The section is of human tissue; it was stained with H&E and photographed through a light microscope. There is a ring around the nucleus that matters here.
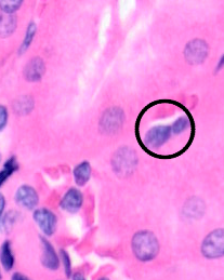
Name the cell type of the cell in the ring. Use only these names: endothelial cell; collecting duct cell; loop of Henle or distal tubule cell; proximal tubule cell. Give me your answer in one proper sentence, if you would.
It is an endothelial cell that the cell in the ring represents.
